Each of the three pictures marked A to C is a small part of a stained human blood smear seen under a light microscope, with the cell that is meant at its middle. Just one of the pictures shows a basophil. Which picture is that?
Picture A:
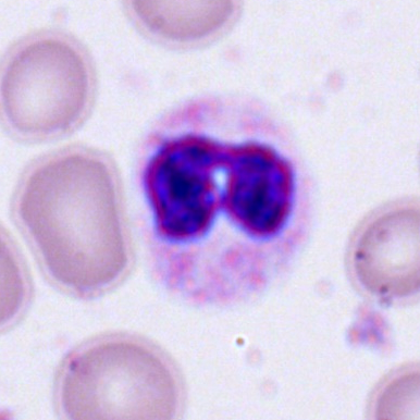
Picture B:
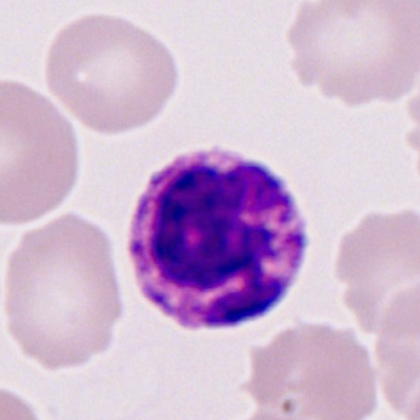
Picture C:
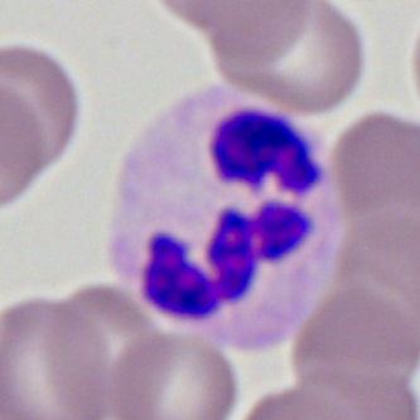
B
